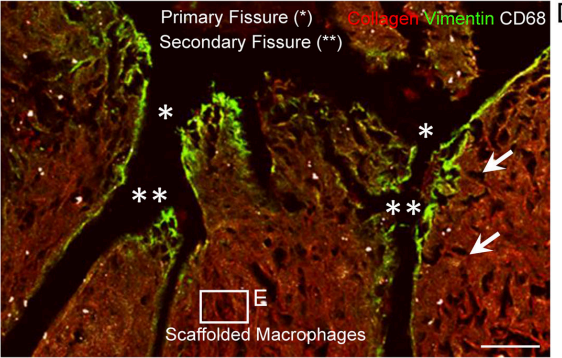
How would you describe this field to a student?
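Orange-red collagenous stroma forms broad lobes separated by dark, branching clefts that run down from the top of the field; some clefts divide into narrower side branches. The walls of the clefts are lined by a bright green layer that is thickest at the tips and edges of the lobes. Scattered small white dots lie within the stroma, and fine dark spaces interrupt the collagen inside the lobes.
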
